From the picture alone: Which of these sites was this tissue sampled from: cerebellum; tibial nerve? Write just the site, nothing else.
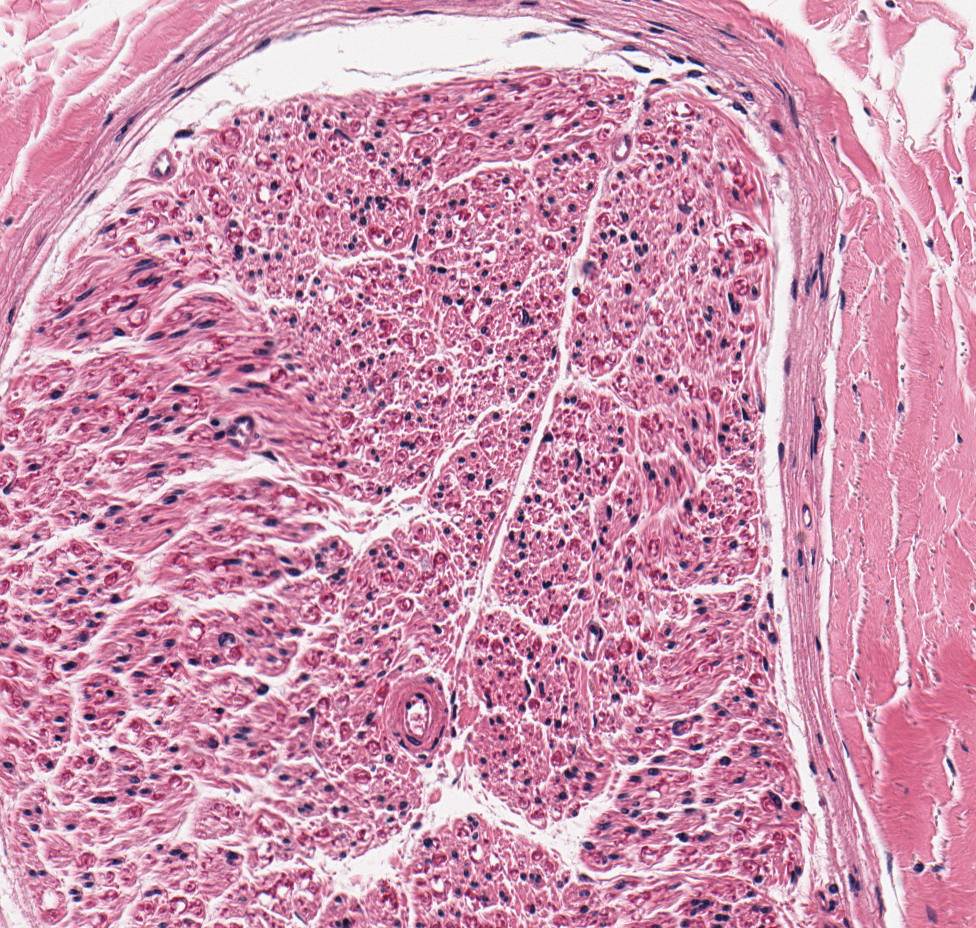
tibial nerve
